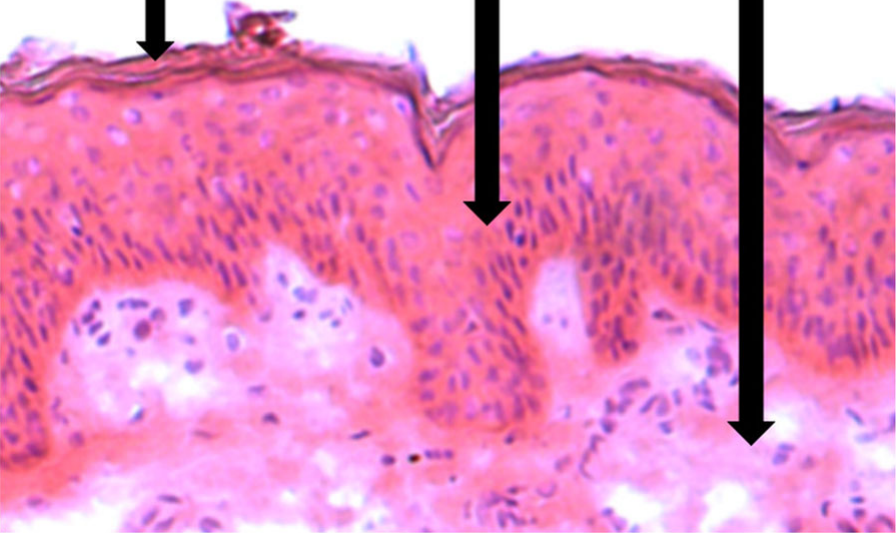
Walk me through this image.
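This section of skin shows the stratum corneum, the epidermis and the dermis in layers from top to bottom. The stratum corneum is a thin, wavy, darker pink band at the surface with no nuclei. Beneath it, the epidermis is a thick, densely cellular pink layer of closely packed cells with round to oval purple nuclei. Near its base the nuclei become more elongated and crowded, and the layer projects downward in broad ridges. Below lies the dermis, a paler pink, loosely textured tissue with scattered, mostly small or spindle-shaped nuclei that fills the spaces between the downward ridges.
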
